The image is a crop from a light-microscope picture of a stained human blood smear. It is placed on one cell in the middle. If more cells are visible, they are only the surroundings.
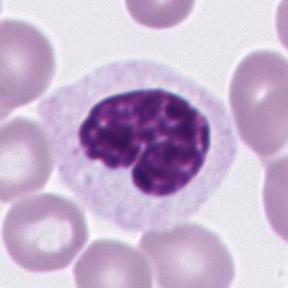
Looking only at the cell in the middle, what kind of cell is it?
band neutrophil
